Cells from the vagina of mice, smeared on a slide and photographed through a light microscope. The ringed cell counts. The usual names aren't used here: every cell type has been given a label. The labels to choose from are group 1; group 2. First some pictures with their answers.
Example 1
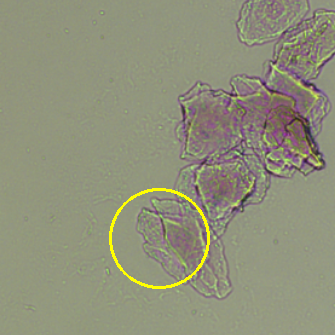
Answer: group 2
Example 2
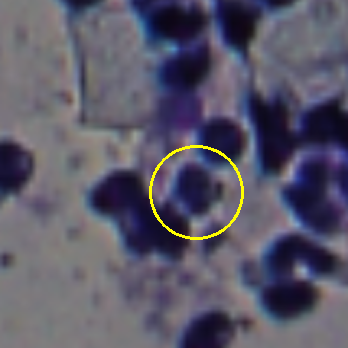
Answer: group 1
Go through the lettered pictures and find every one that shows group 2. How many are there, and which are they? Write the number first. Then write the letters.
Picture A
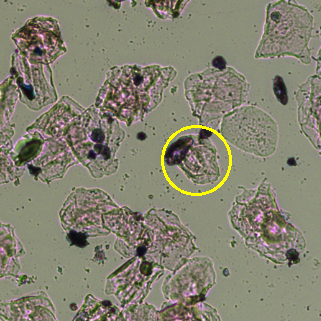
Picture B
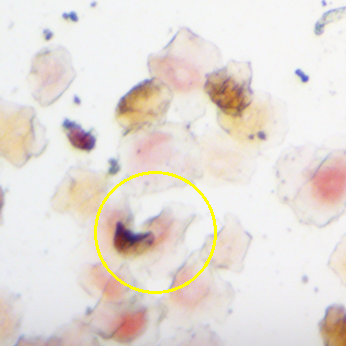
Count: 2 (A, B)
